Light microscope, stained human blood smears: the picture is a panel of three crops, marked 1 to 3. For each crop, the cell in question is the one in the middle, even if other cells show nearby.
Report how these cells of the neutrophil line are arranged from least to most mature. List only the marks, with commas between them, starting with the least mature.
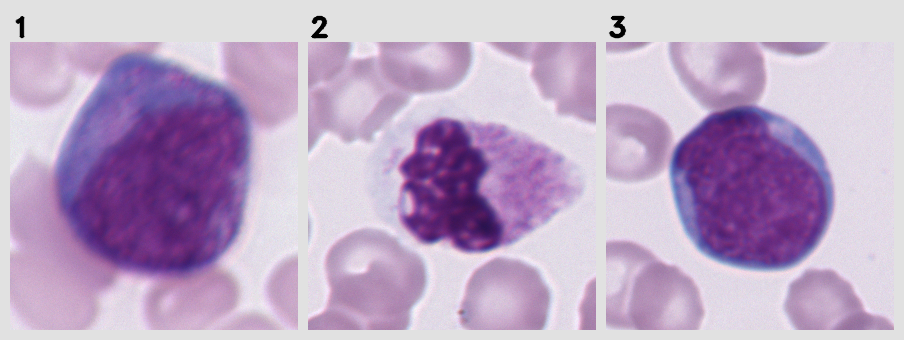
3, 1, 2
